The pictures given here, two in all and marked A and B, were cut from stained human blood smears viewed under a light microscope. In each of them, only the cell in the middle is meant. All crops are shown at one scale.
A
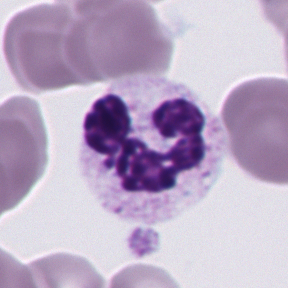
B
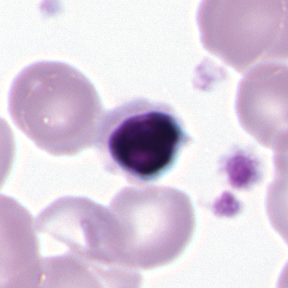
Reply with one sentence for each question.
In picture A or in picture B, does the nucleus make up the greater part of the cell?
It is the cell in picture B that is filled more by its nucleus.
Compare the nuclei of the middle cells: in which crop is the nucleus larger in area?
The nucleus in picture A is larger, with about 2.5 times the area of the one in picture B.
